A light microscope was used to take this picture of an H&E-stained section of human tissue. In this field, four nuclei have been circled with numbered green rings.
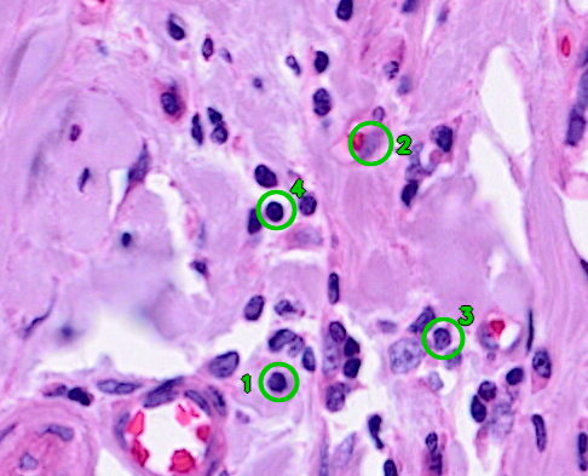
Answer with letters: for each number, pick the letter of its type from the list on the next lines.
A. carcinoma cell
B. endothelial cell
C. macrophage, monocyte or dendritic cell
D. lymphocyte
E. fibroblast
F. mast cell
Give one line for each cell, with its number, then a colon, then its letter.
1: D
2: B
3: D
4: D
